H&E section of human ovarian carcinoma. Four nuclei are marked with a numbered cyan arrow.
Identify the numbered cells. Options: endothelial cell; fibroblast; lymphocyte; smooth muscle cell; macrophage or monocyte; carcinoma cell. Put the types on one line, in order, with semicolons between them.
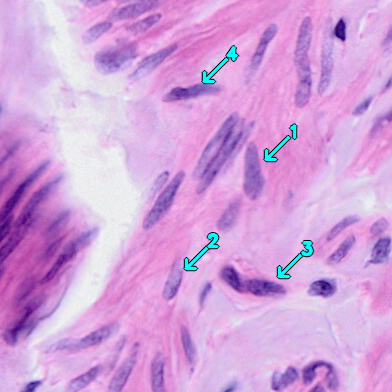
smooth muscle cell; smooth muscle cell; endothelial cell; smooth muscle cell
